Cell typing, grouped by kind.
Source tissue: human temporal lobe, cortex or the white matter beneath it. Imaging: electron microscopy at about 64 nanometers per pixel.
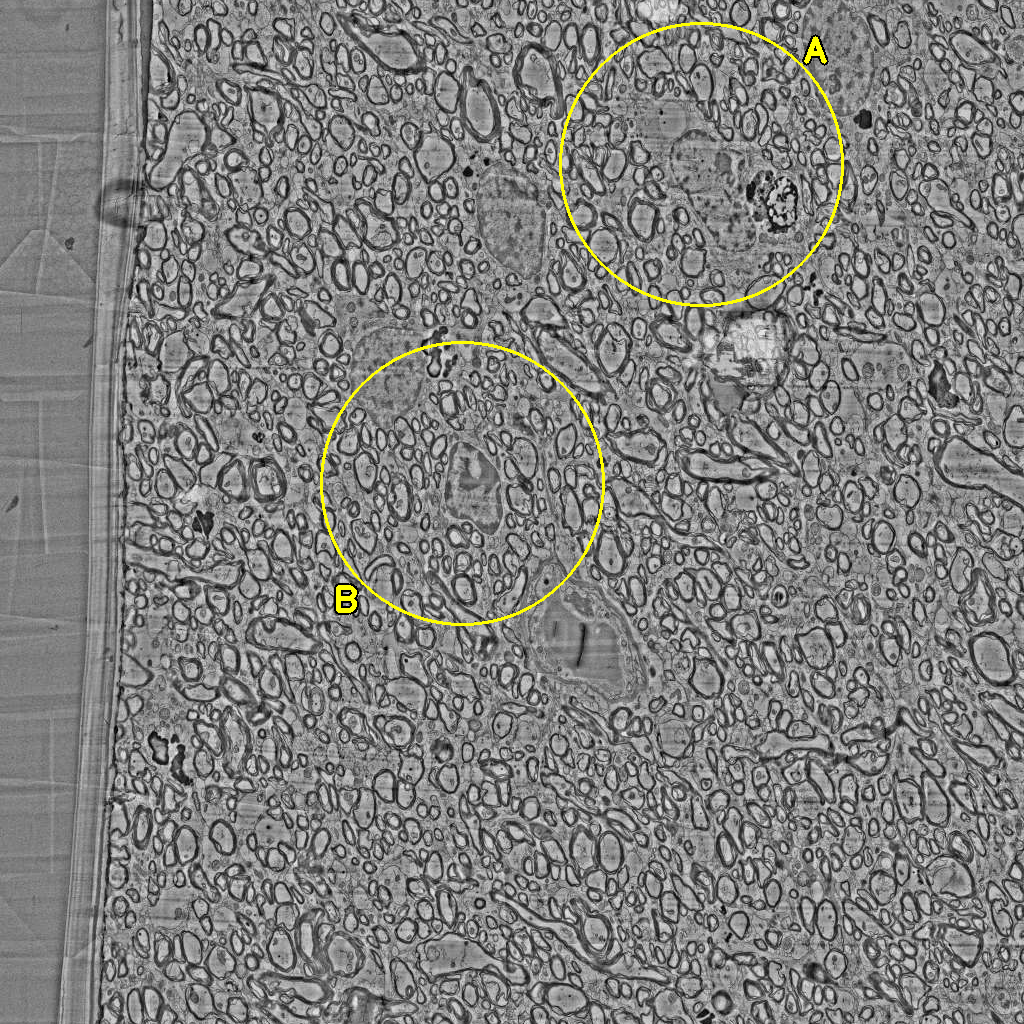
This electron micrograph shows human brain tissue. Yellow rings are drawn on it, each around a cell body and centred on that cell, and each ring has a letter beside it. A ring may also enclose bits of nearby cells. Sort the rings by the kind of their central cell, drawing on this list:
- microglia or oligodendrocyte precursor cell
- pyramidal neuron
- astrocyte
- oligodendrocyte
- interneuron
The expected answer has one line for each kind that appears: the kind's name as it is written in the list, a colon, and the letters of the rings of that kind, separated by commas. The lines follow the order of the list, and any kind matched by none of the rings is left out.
microglia or oligodendrocyte precursor cell: B
astrocyte: A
